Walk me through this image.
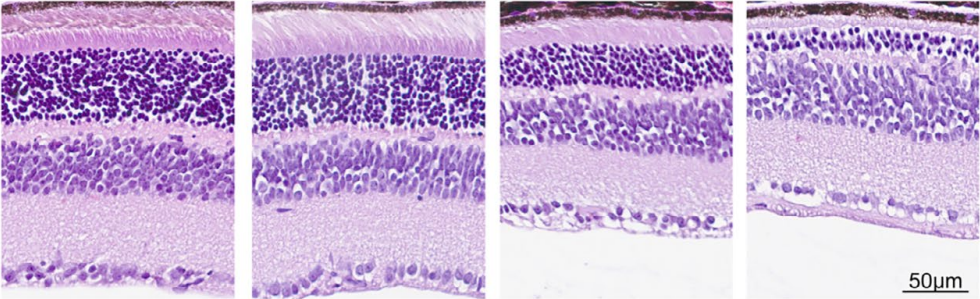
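In the two left sections, pale pink striated outer and inner segments lie above a thick outer nuclear layer of densely packed, small, round, dark purple photoreceptor nuclei. Below this lie a thinner pink plexiform band, the inner nuclear layer of larger, paler, oval nuclei, a broad finely fibrillar pink inner plexiform layer, and a single sparse row of ganglion cell nuclei. In the third section the outer nuclear layer is clearly thinner, with fewer rows of dark nuclei and shortened segments above. In the fourth section the photoreceptor nuclear layer is reduced to only a few rows and the segment layer is very thin, while the inner nuclear and ganglion cell layers remain comparatively preserved.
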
